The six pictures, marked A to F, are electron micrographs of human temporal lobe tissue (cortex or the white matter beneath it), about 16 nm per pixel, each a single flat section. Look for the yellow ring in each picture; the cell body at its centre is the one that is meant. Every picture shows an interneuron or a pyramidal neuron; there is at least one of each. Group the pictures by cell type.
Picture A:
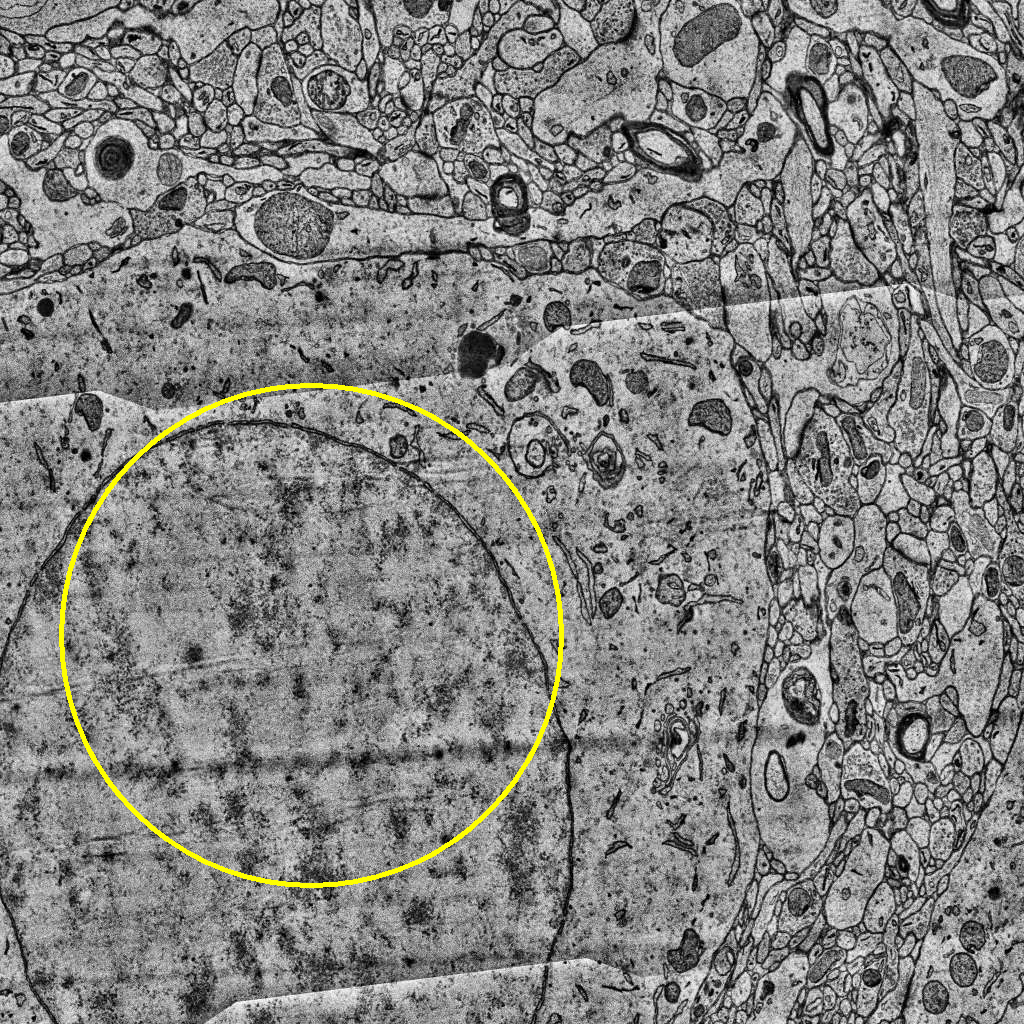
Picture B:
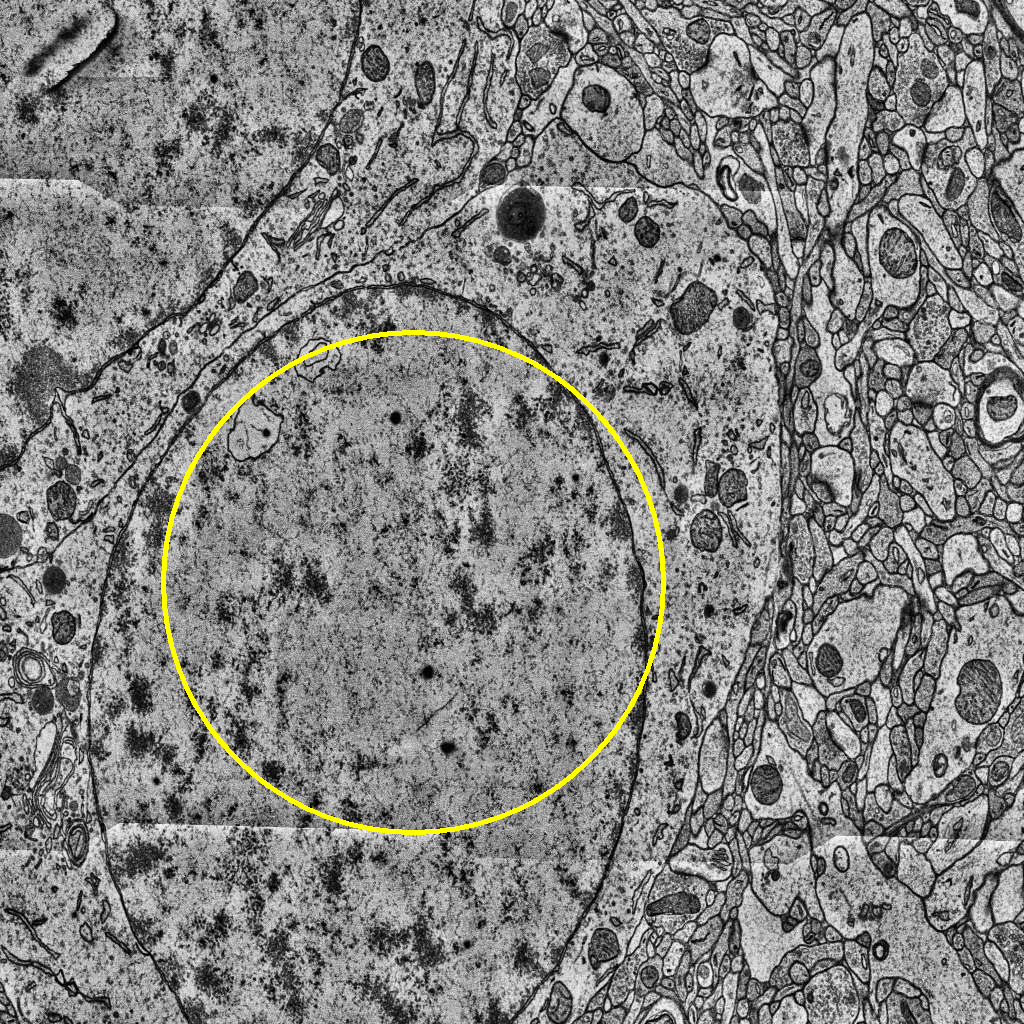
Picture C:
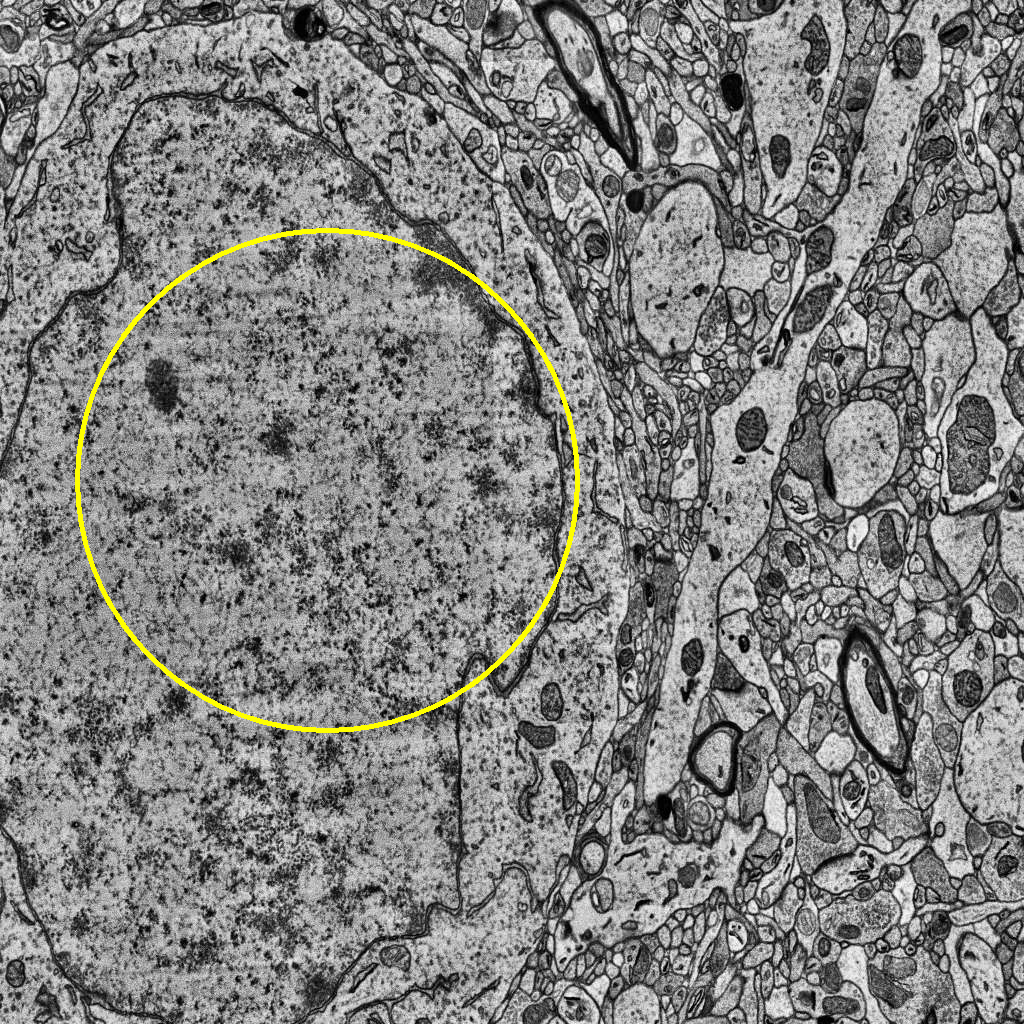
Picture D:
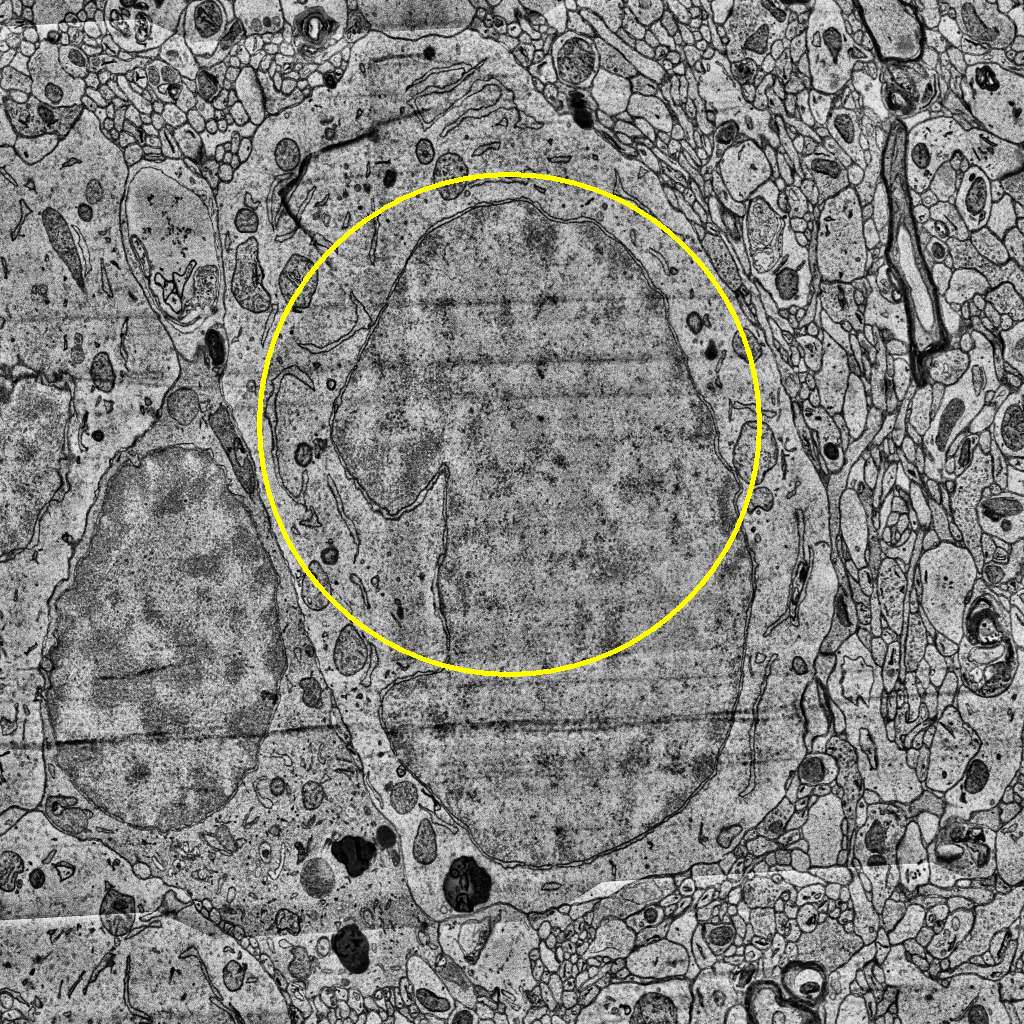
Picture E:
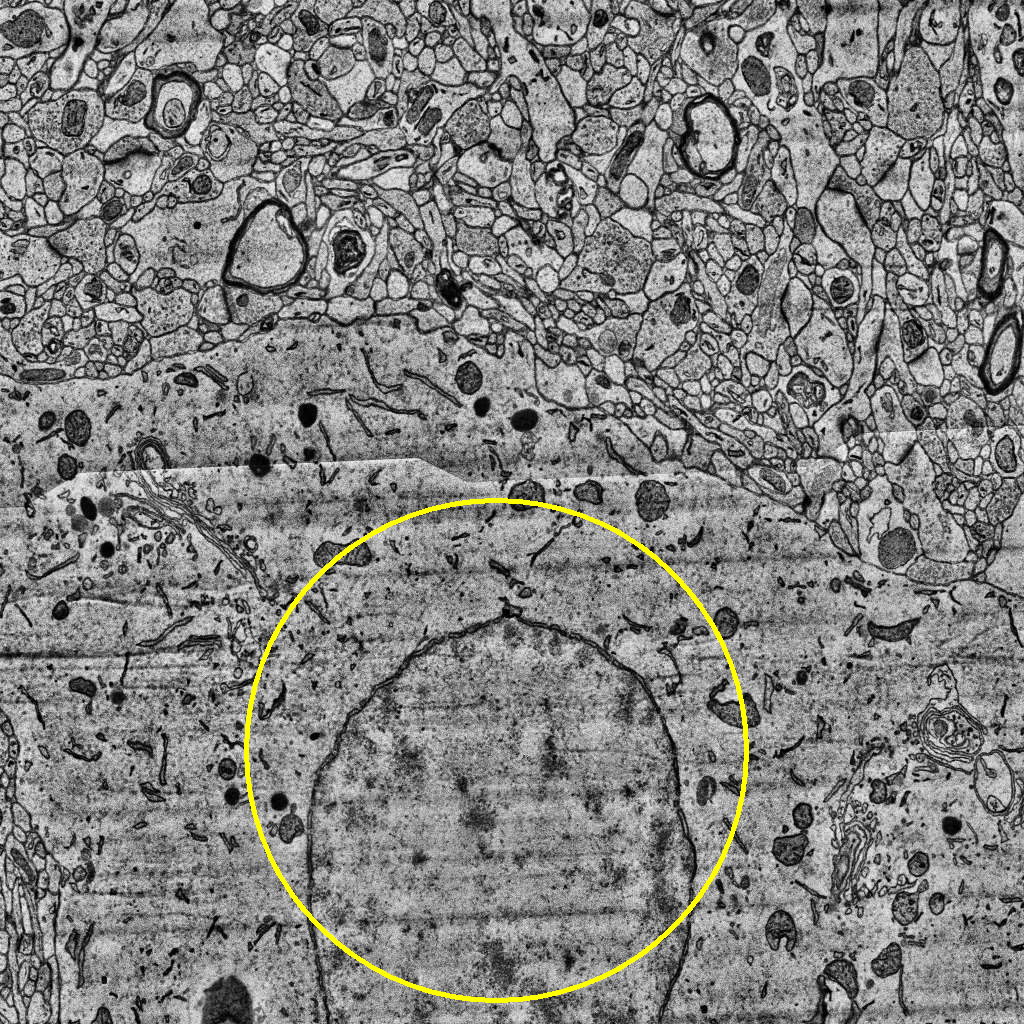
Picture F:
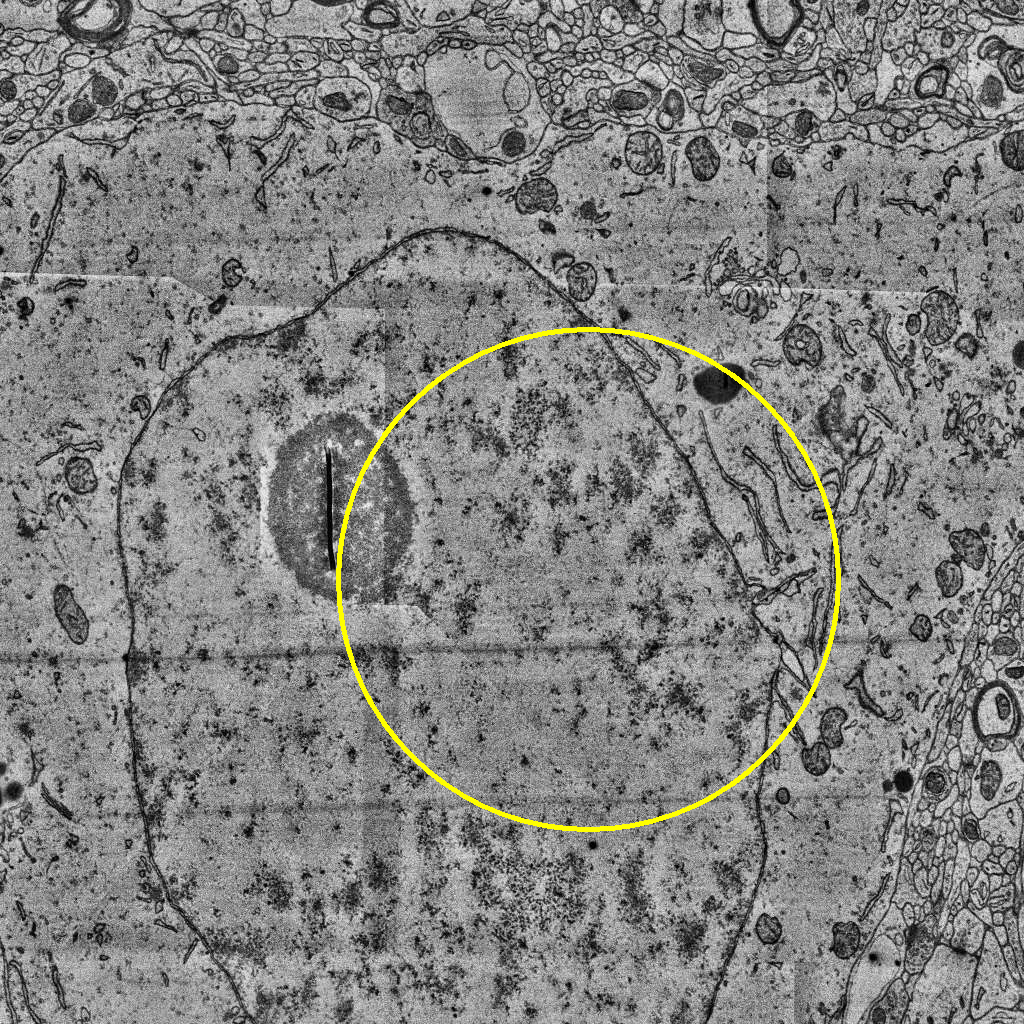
Pictures C and D show interneurons, and pictures A, B, E and F show pyramidal neurons.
